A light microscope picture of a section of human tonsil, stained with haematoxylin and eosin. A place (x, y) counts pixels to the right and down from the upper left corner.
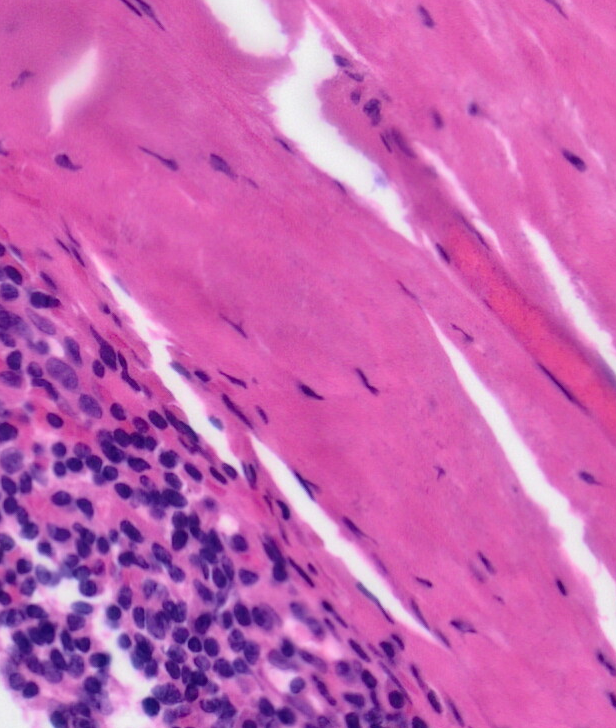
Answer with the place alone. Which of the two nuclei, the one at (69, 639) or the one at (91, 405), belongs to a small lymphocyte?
(69, 639)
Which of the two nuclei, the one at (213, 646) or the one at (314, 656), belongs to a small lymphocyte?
(213, 646)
